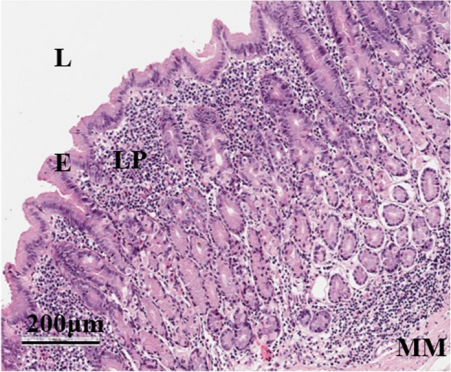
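This section of gastric mucosa shows a thickened lamina propria infiltrated by immune cells, mainly lymphocytes, among the gastric glands. The surface epithelium forms an undulating purple border facing the pale empty lumen. Small, round, dark purple nuclei lie in dense sheets between the glands, most heavily in the upper mucosa. In the deeper mucosa the glands are cut across as rounded profiles with pale centres. A pink band of muscularis mucosae lies at the base.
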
